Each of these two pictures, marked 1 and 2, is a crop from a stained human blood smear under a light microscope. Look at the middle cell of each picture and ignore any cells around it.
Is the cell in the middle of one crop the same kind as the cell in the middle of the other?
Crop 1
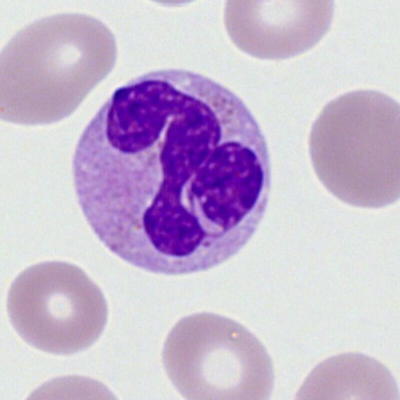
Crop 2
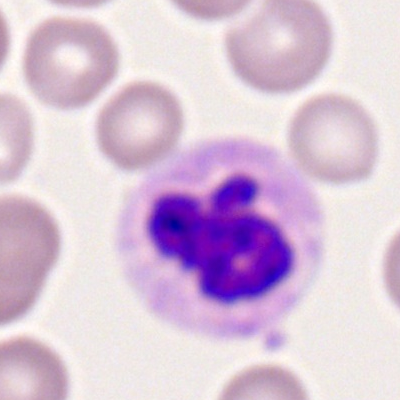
yes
